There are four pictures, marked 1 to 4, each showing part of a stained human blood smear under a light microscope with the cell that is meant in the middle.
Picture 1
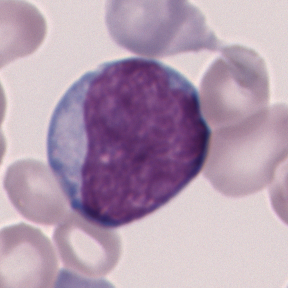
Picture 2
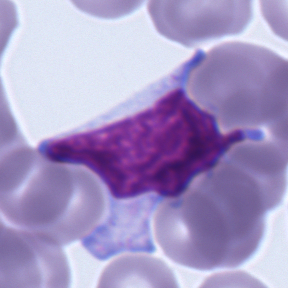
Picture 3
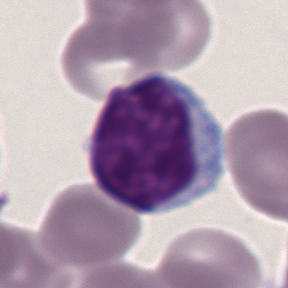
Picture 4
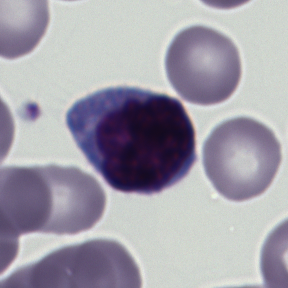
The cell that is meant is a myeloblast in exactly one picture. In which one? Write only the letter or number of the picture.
1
